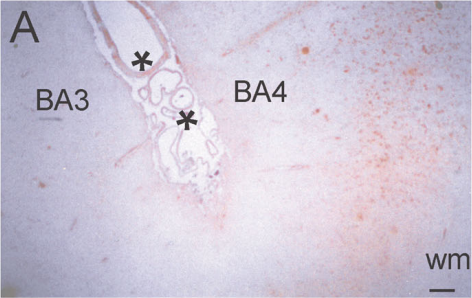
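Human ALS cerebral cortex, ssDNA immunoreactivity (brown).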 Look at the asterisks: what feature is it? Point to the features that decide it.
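The asterisks lie in a deep cleft between two cortical areas. The cleft contains folded membranous tissue.
Answer: central sulcus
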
